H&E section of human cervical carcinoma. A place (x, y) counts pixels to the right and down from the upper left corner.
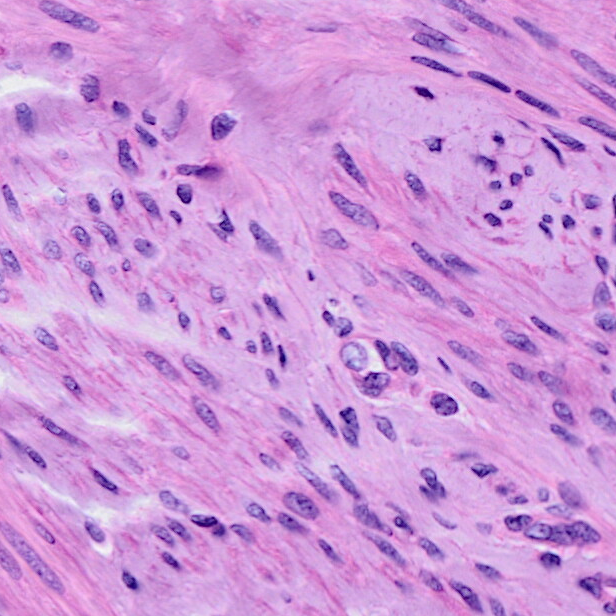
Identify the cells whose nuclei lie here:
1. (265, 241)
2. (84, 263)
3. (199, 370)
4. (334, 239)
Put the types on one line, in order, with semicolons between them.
fibroblast; smooth muscle cell; smooth muscle cell; smooth muscle cell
